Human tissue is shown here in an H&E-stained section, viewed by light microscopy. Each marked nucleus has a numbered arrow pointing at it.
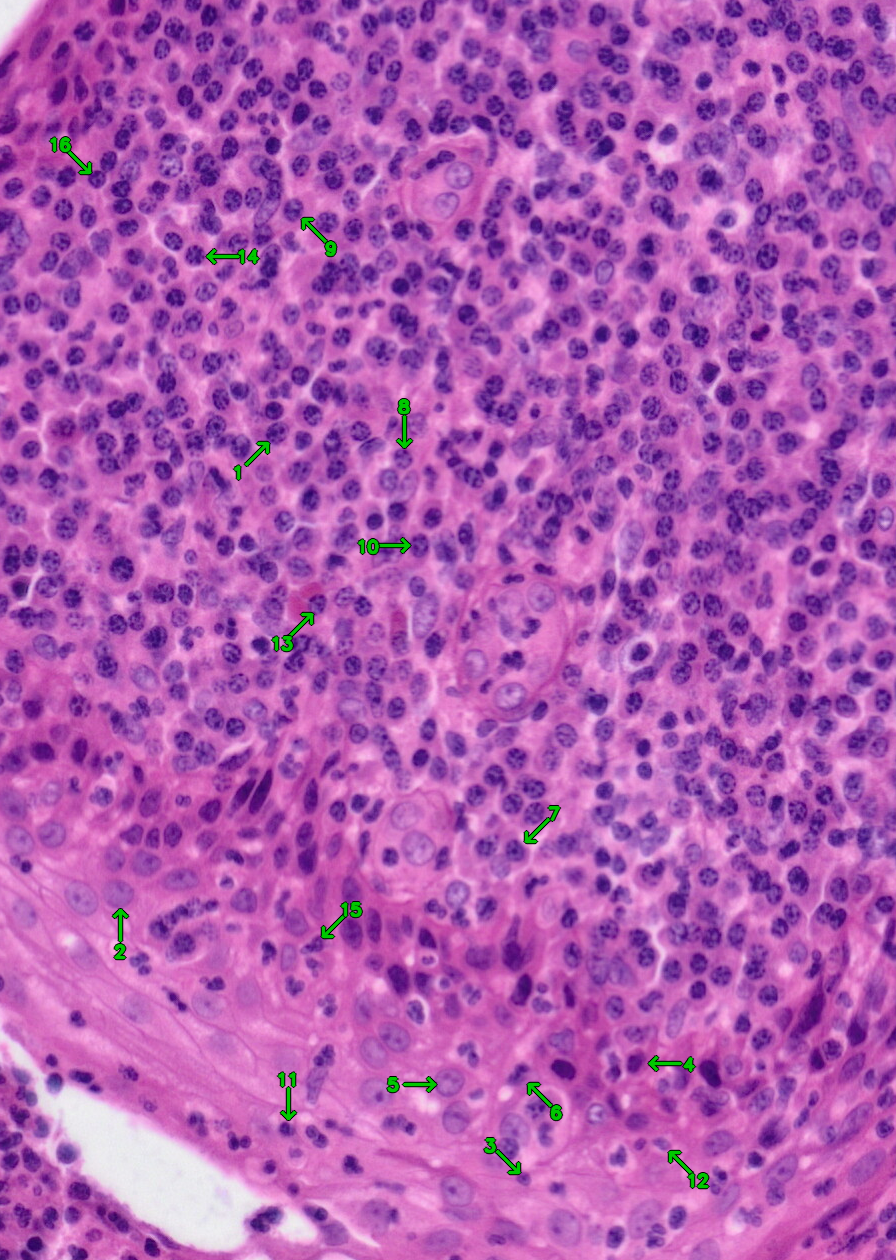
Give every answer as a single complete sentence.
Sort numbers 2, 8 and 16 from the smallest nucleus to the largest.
The order from the smallest nucleus to the largest is 16, 8, 2.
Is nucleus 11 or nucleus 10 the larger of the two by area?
Number 10 is larger; its area is about 2 times that of number 11.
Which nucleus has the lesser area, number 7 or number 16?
Nucleus 16 covers less area, with nucleus 7 about 1.5 times as large.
